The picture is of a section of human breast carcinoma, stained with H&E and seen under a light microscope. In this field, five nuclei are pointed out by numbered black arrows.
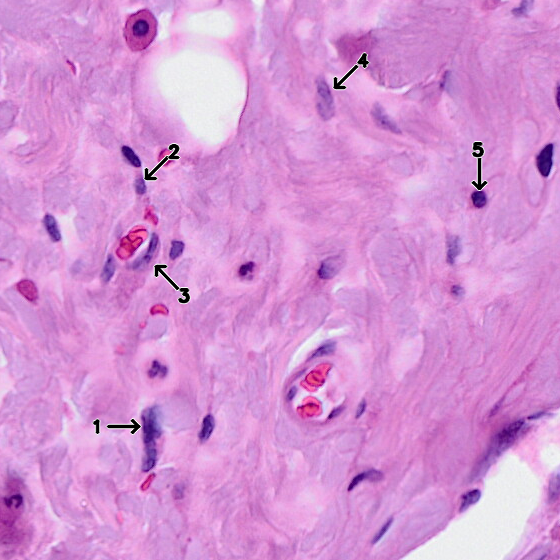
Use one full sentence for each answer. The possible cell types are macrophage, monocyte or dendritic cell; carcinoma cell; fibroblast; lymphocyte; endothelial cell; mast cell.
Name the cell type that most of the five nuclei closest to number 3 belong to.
Fibroblasts account for more than half of the five nuclei nearest to number 3.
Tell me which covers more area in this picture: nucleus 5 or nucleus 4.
Nucleus 4 is larger, with an area about 3 times that of nucleus 5.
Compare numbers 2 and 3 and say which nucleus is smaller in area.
Number 2 is smaller, since number 3 takes up about 2 times as much area.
